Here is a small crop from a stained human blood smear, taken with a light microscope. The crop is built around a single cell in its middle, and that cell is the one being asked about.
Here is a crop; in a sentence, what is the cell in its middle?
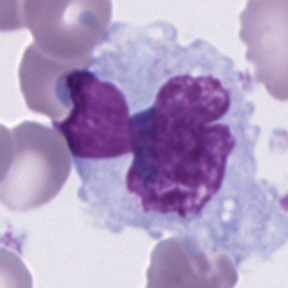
The middle of this crop is occupied by a monocyte.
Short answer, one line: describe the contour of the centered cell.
The edge of the cell is broken up by ragged stretches or by outward projections.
